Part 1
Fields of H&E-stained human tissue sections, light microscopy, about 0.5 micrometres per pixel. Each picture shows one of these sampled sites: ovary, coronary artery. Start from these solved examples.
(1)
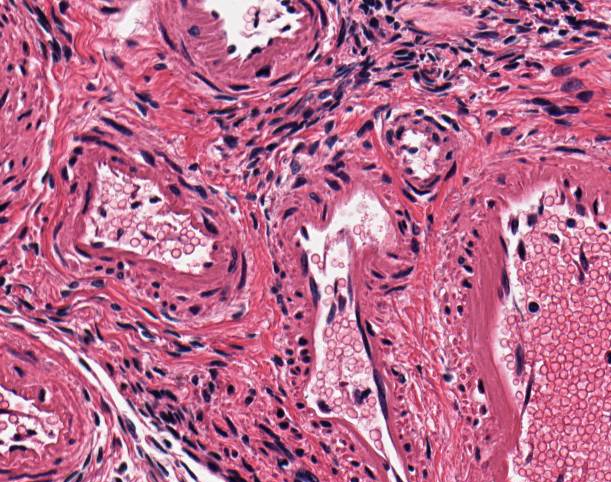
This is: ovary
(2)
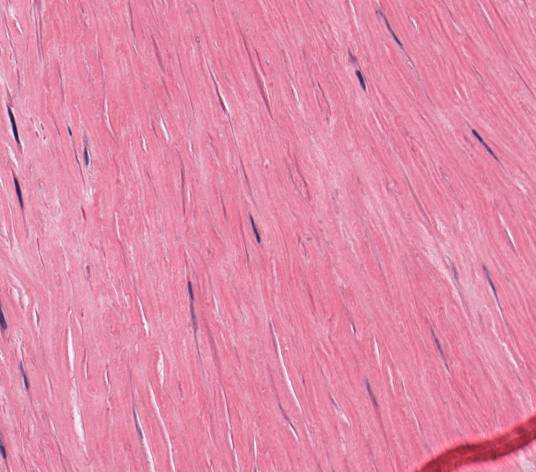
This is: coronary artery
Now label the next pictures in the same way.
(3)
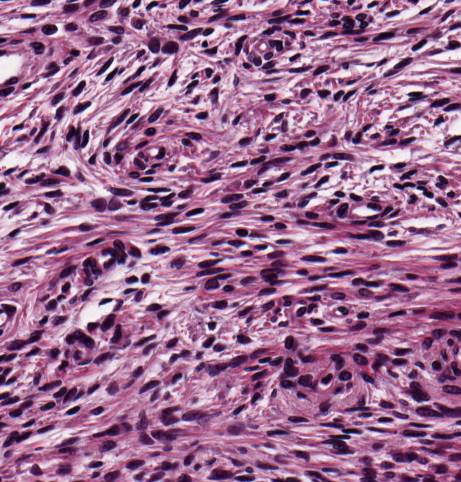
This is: ovary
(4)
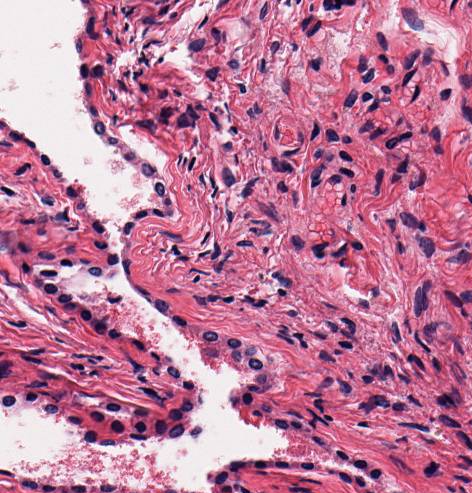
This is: ovary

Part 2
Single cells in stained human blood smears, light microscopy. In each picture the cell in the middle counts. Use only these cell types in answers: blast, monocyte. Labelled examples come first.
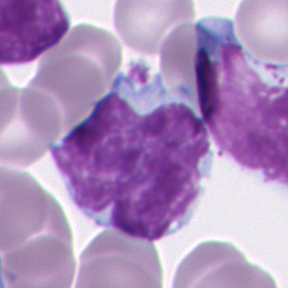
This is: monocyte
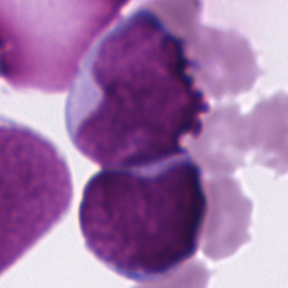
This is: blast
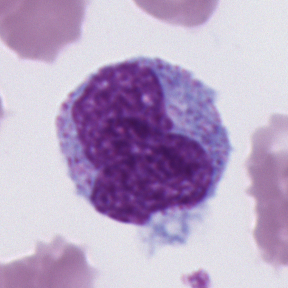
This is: monocyte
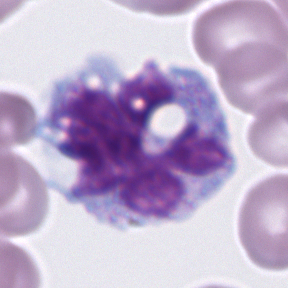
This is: monocyte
